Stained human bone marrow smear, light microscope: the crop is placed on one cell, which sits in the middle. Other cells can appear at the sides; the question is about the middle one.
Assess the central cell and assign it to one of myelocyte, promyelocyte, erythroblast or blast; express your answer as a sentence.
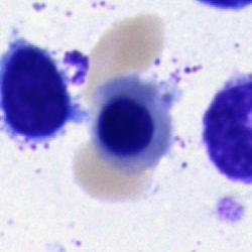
The cell featured at the centre of this crop is an erythroblast.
